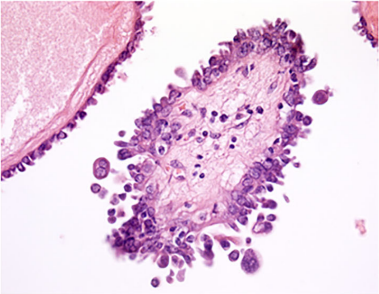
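A papilla of hobnail papillary thyroid carcinoma with a broad, loose, pale pink fibrovascular core containing scattered small nuclei. Several rounded cells lie detached at the edge of the papilla, and a thin strip of lining epithelium borders a pink-filled space at the upper left.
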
